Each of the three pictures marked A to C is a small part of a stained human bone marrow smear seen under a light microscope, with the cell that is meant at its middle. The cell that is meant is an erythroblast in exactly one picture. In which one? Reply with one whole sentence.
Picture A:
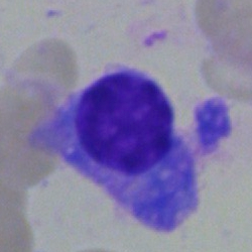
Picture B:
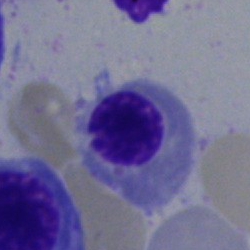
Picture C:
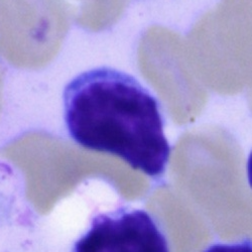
The cell in picture B is the erythroblast.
